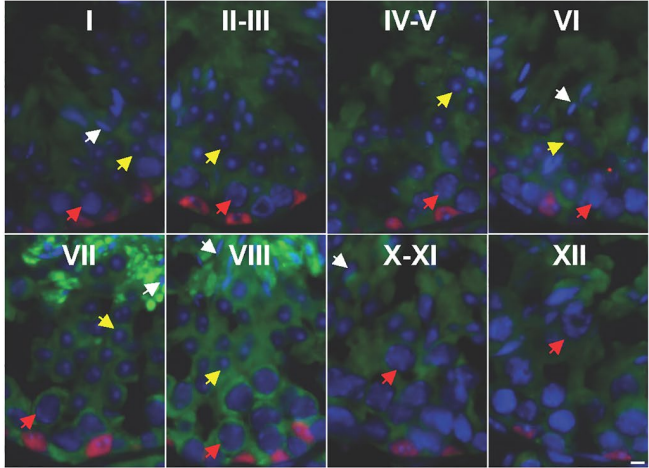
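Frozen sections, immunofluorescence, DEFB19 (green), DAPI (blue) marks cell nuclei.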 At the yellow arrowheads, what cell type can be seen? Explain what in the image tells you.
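Round spermatid. The marked cells have small round nuclei. They lie further toward the lumen than the large-nucleus cells.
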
